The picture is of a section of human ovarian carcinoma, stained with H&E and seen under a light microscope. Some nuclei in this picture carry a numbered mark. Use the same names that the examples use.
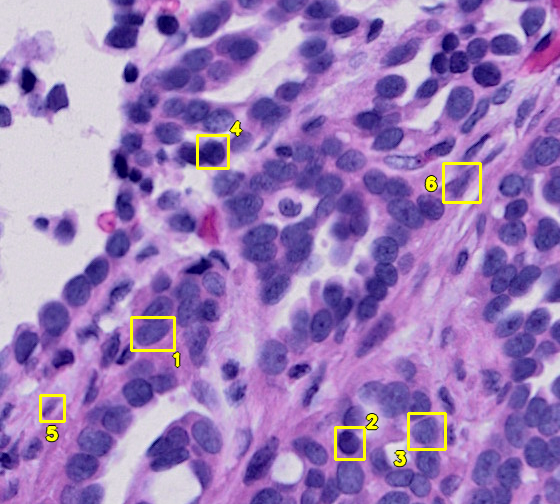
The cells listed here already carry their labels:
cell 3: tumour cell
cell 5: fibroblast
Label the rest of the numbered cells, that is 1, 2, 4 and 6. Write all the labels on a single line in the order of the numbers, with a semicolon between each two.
tumour cell; tumour cell; tumour cell; fibroblast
